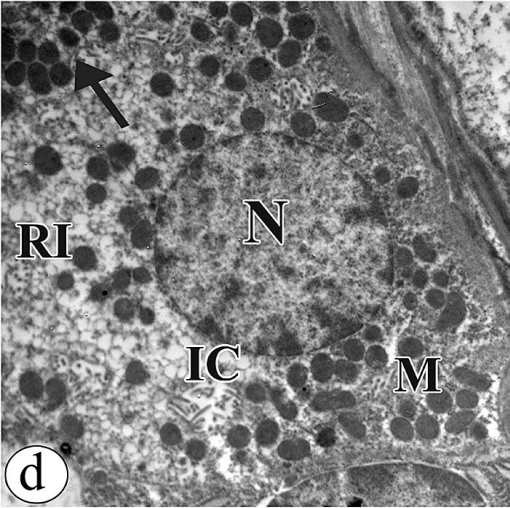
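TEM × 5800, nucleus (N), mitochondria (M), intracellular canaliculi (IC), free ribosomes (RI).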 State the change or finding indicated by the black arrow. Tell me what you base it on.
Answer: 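The arrow points at a cluster of very dark, round mitochondria. These are darker than the mitochondria elsewhere in the cell.
Electron dense.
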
